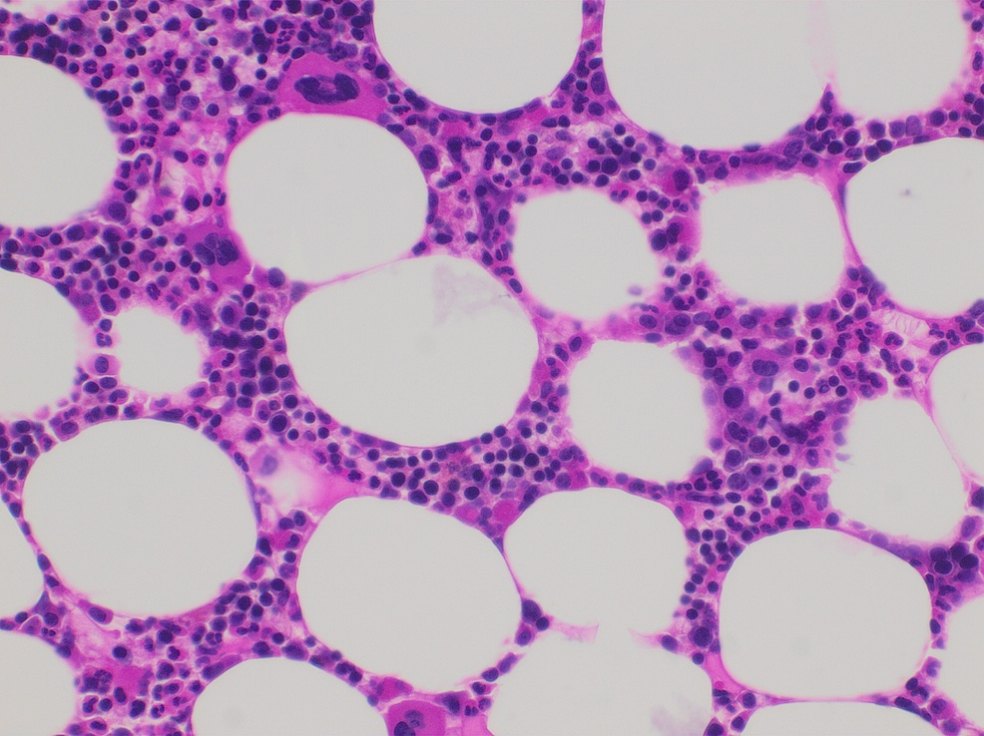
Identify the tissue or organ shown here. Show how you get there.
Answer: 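Many large empty round fat spaces are spread evenly through the section. Densely packed small round cells with dark nuclei fill the spaces between the fat. Occasional very large cells with pink cytoplasm and lobed dark nuclei lie among the smaller cells.
Hence: Bone marrow.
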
